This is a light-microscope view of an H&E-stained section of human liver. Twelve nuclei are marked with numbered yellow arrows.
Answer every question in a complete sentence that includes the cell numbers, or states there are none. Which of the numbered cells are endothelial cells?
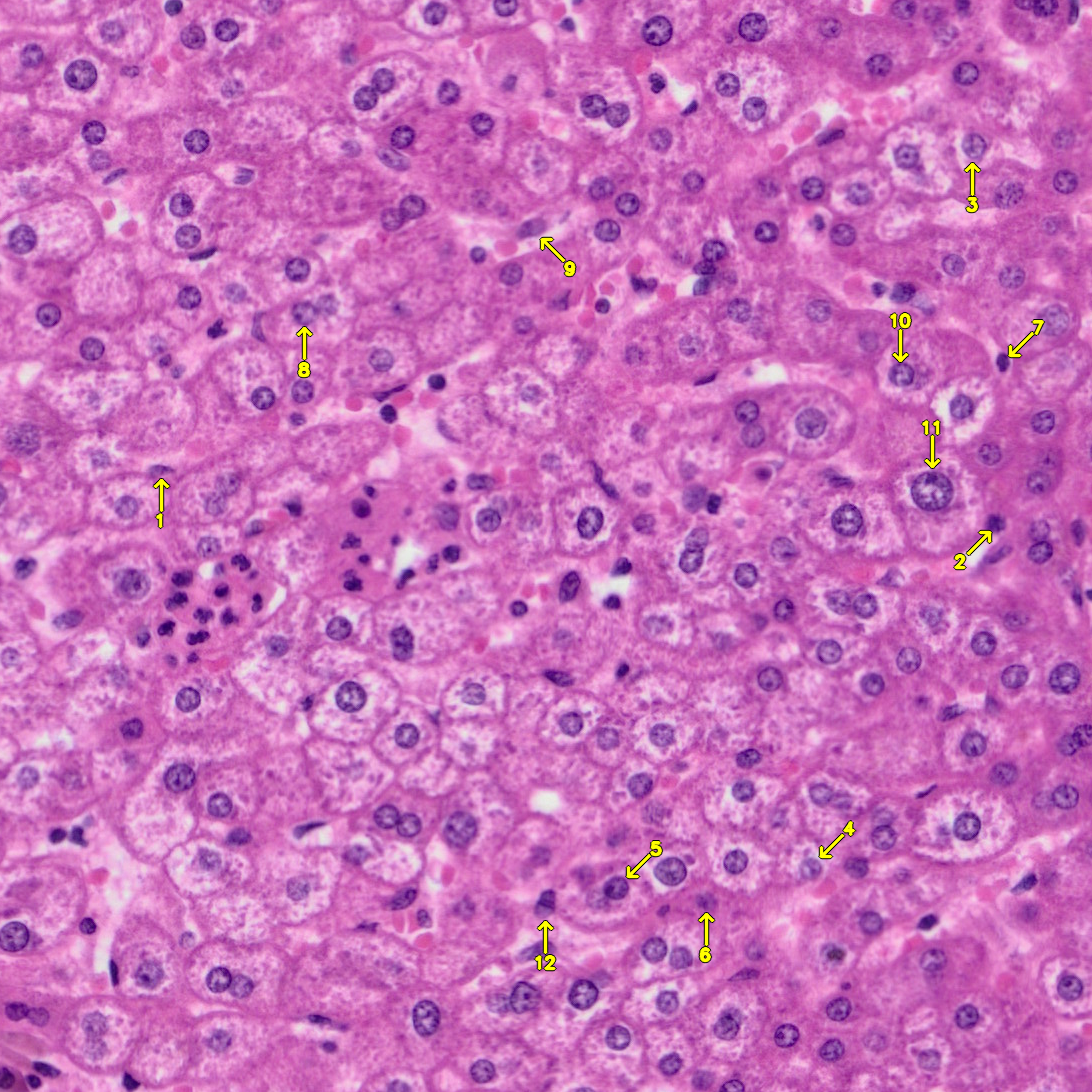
The cells tagged 1 and 12 are endothelial cells in this tissue section.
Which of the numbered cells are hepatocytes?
The cells with labels 3, 4, 5, 6, 8, 10 and 11 are hepatocytes.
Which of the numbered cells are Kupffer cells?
Of the numbered cells, only cell 9 is a Kupffer cell.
